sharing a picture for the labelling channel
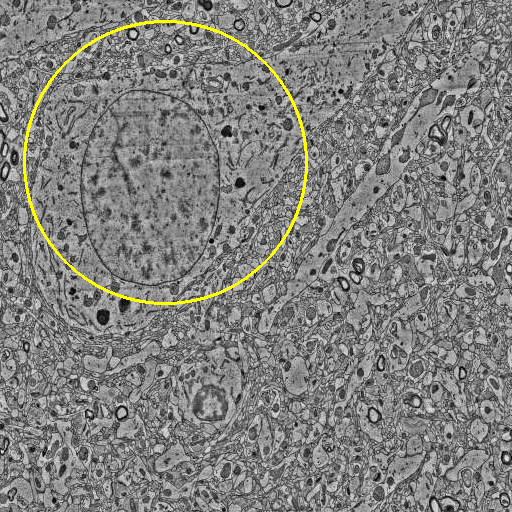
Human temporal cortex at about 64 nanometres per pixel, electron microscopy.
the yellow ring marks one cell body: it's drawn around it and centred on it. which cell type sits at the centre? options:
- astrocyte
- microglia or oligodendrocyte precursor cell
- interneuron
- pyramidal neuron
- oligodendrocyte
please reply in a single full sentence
In the picture, the cell at the ring's centre is a pyramidal neuron, going by the list.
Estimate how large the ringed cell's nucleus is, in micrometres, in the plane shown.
In this plane, about 13 micrometres in length and 9 in width.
